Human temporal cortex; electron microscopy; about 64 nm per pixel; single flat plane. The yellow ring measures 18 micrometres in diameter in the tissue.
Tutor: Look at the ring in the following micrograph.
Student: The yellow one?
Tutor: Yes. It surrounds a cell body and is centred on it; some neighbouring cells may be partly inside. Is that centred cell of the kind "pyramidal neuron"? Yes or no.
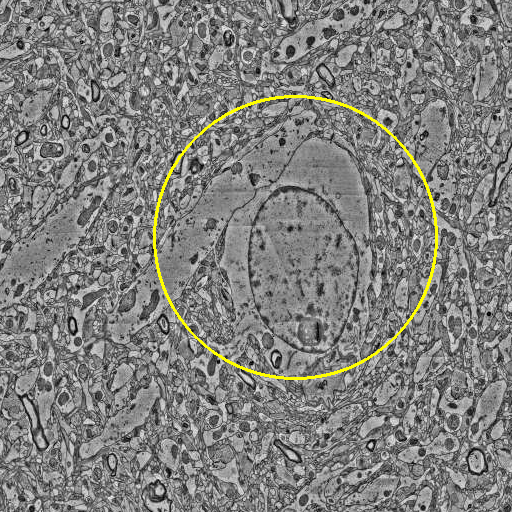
no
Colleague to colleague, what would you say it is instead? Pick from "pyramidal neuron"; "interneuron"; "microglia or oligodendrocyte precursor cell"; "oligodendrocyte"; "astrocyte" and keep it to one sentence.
What the ring is centred on is an astrocyte.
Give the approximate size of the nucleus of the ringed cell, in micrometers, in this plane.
In this plane, roughly 11 by 7 micrometres.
